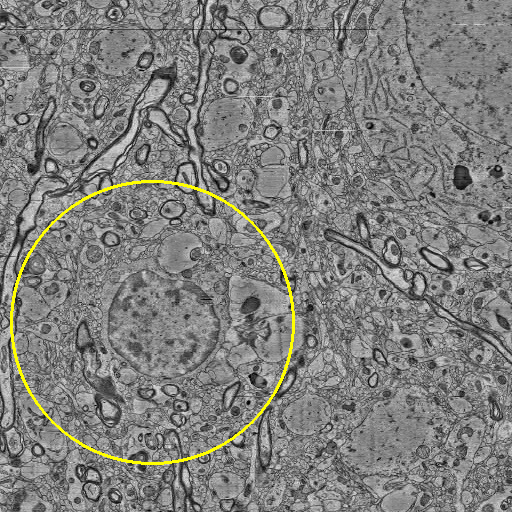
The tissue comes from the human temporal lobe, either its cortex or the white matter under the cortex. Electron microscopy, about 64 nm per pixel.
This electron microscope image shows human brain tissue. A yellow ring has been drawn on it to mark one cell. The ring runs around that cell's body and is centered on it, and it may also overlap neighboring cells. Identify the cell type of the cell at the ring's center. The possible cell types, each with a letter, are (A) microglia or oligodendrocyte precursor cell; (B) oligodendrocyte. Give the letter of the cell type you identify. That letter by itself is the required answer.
B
